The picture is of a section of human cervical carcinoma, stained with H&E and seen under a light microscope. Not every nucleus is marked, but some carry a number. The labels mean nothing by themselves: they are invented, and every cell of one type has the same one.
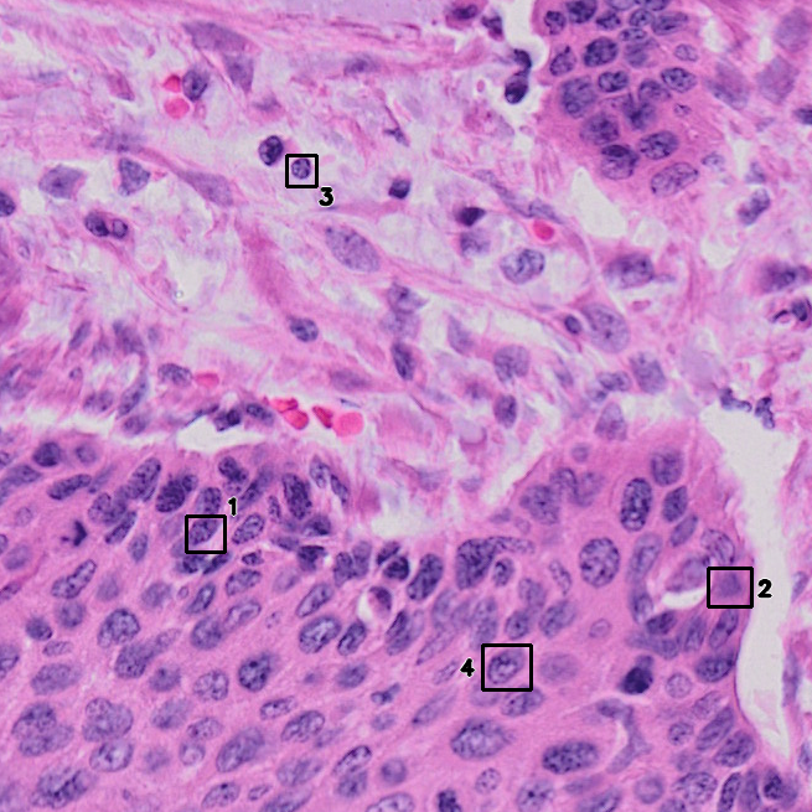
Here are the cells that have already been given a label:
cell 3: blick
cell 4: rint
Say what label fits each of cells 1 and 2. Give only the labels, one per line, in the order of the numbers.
rint
rint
